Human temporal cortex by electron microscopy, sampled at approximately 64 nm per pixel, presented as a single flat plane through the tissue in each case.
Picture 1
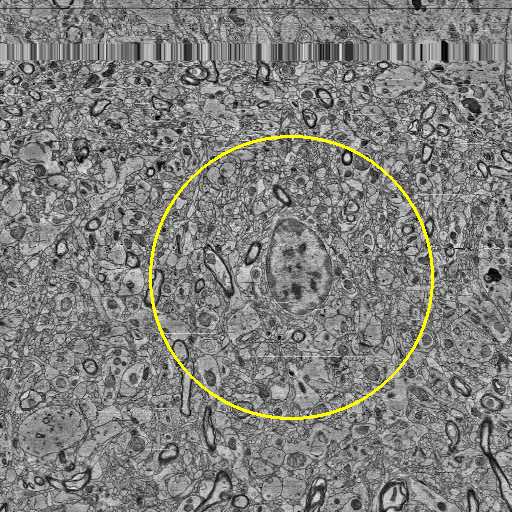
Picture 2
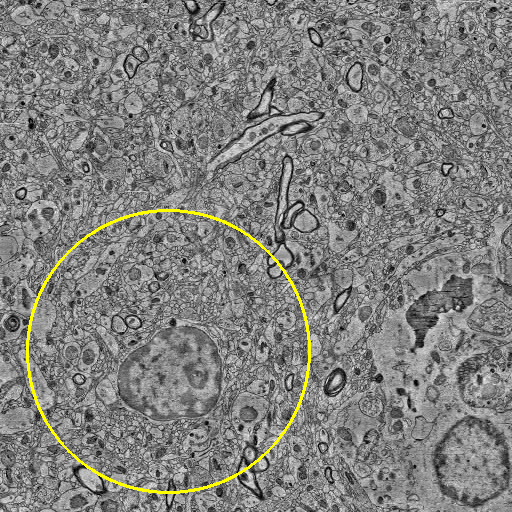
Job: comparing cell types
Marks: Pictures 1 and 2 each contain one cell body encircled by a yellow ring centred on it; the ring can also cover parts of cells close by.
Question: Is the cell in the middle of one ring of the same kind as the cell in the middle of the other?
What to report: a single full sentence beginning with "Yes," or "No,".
Yes, the cell at the ring centre in Picture 1 and its partner in Picture 2 are of one kind.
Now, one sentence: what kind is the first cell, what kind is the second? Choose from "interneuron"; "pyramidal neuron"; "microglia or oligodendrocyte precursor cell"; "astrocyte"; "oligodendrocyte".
Each of the ringed cells, first and second, is a microglial cell or oligodendrocyte precursor cell.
